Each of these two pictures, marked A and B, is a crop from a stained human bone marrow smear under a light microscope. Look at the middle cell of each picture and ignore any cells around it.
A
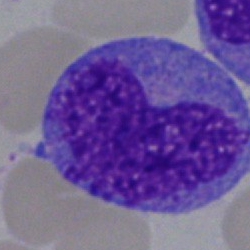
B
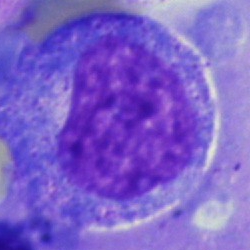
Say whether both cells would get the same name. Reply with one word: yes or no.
no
